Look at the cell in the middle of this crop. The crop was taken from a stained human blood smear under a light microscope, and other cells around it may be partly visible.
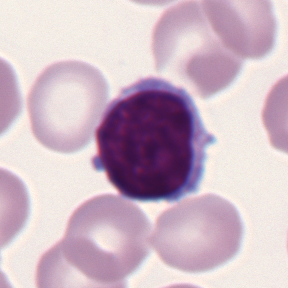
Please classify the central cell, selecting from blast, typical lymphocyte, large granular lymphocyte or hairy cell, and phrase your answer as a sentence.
Classification of the middle cell gives a typical lymphocyte.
